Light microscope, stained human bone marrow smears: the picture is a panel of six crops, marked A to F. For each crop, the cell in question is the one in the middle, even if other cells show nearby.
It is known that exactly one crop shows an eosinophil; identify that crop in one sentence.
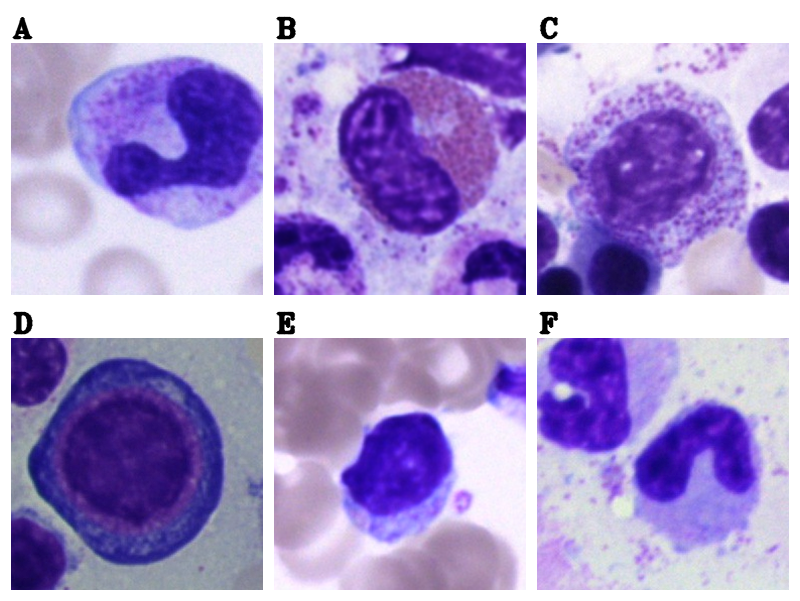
Of the crops given, an eosinophil is found in crop B.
